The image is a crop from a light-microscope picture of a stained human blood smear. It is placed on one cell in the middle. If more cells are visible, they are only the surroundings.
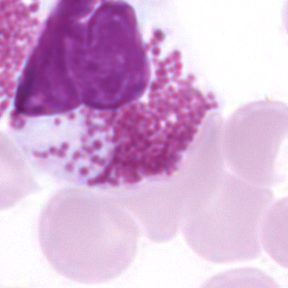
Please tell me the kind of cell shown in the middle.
eosinophil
